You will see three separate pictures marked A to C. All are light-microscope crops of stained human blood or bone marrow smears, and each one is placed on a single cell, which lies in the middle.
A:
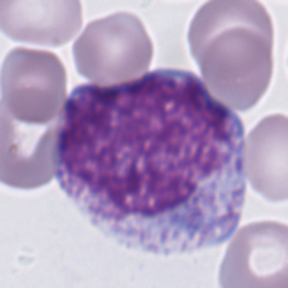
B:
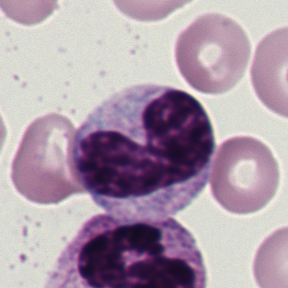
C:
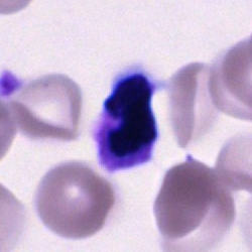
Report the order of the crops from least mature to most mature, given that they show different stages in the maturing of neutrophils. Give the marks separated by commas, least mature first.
A, B, C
